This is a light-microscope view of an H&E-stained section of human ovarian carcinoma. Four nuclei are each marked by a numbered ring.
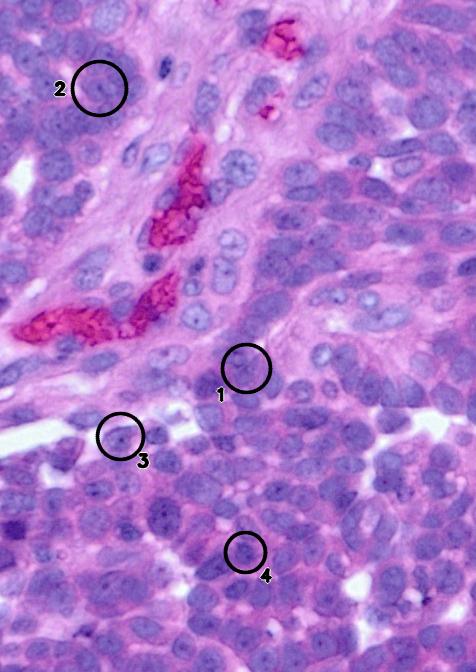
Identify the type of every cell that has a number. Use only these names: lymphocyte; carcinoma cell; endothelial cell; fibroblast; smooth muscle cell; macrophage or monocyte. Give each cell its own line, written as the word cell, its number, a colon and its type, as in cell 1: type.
cell 1: carcinoma cell
cell 2: carcinoma cell
cell 3: macrophage or monocyte
cell 4: carcinoma cell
